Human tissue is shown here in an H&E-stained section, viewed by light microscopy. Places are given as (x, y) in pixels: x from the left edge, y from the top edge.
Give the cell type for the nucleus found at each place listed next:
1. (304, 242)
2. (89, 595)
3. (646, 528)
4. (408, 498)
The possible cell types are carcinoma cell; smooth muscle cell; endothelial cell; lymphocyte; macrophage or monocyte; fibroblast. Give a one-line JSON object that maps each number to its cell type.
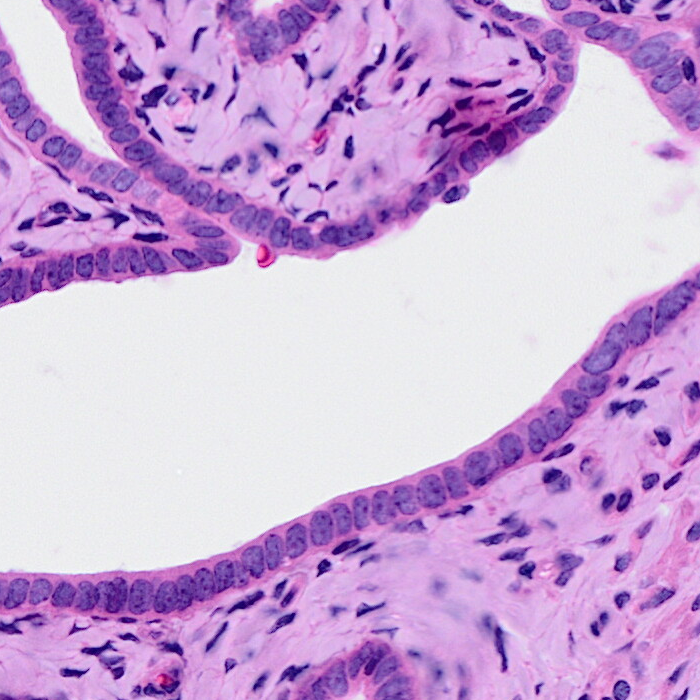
{"1": "carcinoma cell", "2": "carcinoma cell", "3": "smooth muscle cell", "4": "carcinoma cell"}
